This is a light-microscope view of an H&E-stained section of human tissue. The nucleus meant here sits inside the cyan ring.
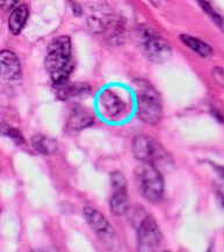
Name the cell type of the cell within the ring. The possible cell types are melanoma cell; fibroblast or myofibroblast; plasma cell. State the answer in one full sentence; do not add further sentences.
For cell typing purposes, the cell within the ring is a melanoma cell.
